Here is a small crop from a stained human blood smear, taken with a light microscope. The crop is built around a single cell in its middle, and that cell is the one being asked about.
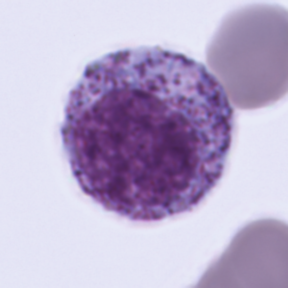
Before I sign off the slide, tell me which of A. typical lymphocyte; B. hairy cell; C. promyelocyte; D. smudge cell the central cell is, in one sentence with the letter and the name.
The middle of the crop contains a promyelocyte, so option C is right.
